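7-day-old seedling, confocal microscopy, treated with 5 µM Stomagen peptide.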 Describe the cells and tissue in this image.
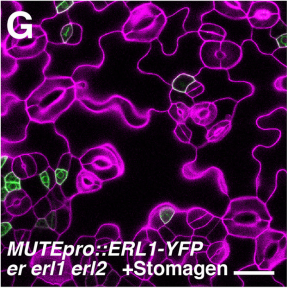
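Leaf epidermis with lobed pavement cells outlined in magenta and numerous stomata, each formed by a pair of guard cells around a central pore. Many small polygonal cells lie between the stomata and pavement cells.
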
